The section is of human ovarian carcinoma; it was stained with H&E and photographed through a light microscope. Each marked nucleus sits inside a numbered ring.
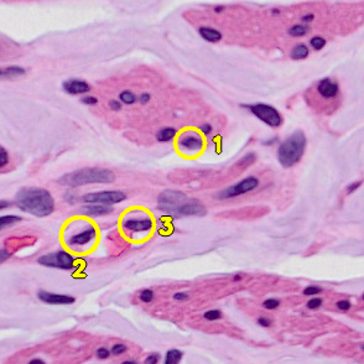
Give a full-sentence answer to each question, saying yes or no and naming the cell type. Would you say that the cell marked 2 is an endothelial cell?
Yes, within this section, cell number 2 is an endothelial cell.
